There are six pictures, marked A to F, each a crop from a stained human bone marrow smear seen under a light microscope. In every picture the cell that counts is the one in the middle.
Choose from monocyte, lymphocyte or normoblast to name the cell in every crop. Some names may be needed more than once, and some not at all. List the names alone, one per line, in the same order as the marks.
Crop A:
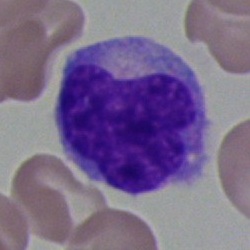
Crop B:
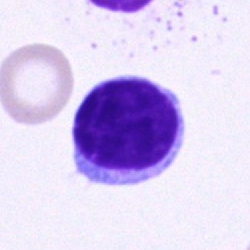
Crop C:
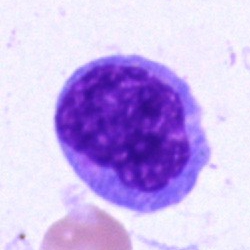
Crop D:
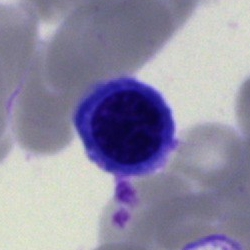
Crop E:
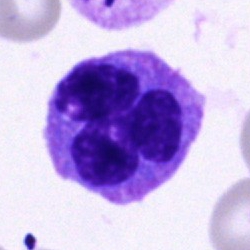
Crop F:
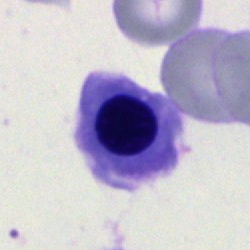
monocyte
lymphocyte
monocyte
normoblast
monocyte
normoblast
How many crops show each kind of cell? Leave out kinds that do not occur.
monocyte: 3
normoblast: 2
lymphocyte: 1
